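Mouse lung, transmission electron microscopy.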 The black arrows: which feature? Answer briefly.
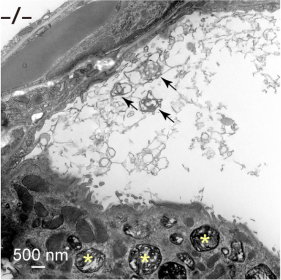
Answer: tubular myelin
